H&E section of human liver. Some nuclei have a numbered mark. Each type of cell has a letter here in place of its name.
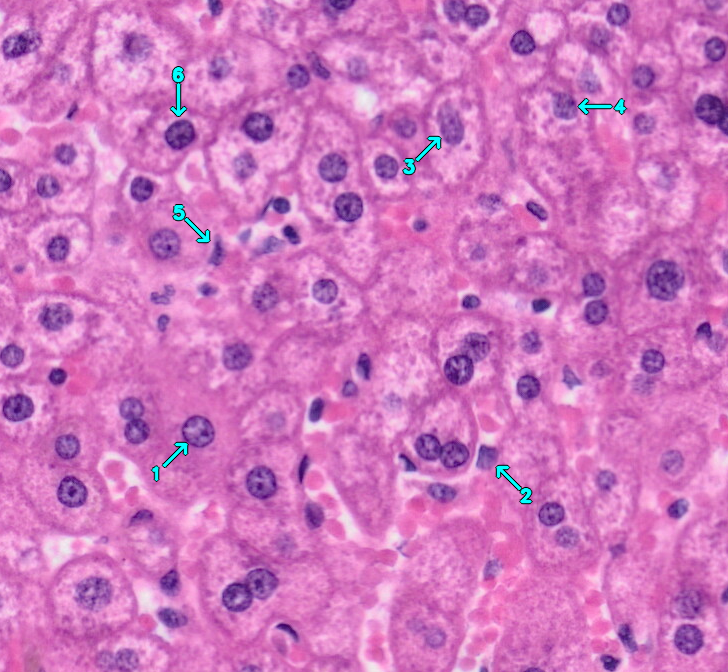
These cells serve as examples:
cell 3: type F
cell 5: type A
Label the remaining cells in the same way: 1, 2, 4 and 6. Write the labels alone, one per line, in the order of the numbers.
type F
type A
type F
type F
